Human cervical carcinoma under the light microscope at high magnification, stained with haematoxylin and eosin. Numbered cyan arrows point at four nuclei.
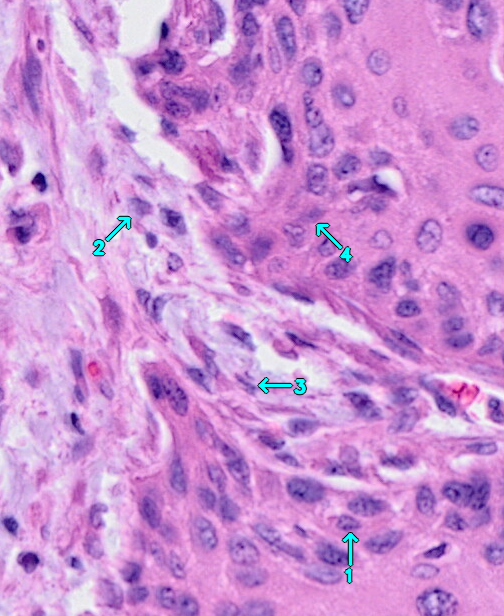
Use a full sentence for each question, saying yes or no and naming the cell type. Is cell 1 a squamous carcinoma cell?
Yes, so the cell at label 1 is a squamous carcinoma cell.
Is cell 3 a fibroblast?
Yes, the cell given number 3 is a fibroblast.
